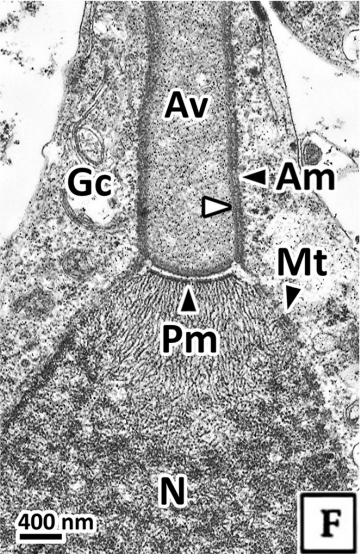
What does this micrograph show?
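Higher-power view of the anterior part of a mid spermatid, showing the acrosomal vesicle seated on the nucleus. The vesicle is elongated with finely granular content and is outlined by parallel dark membrane lines. At its base a flat, dense membranous plate separates it from the nucleus. Just below, the nuclear chromatin is arranged in fine, closely packed filaments.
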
